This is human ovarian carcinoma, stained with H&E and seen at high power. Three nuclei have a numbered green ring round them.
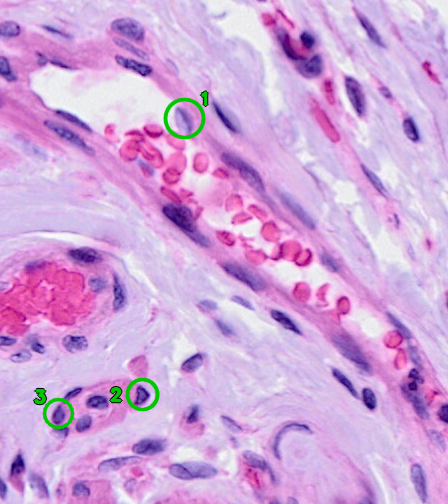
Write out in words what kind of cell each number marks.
Cell 1 is an endothelial cell, cell 2 is a smooth muscle cell and cell 3 is a smooth muscle cell.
